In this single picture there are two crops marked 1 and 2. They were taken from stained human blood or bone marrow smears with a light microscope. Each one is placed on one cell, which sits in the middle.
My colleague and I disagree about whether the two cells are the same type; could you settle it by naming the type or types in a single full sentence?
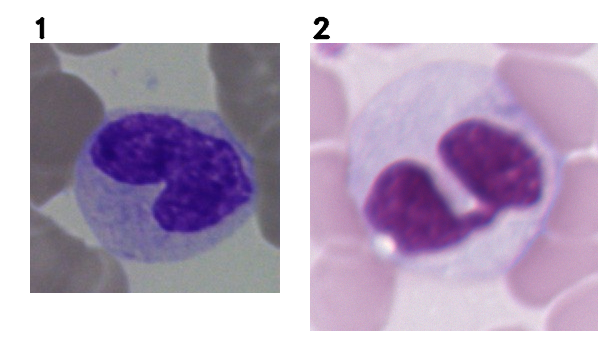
No, look again: crop 1 shows a band neutrophil, and crop 2 shows a monocyte.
